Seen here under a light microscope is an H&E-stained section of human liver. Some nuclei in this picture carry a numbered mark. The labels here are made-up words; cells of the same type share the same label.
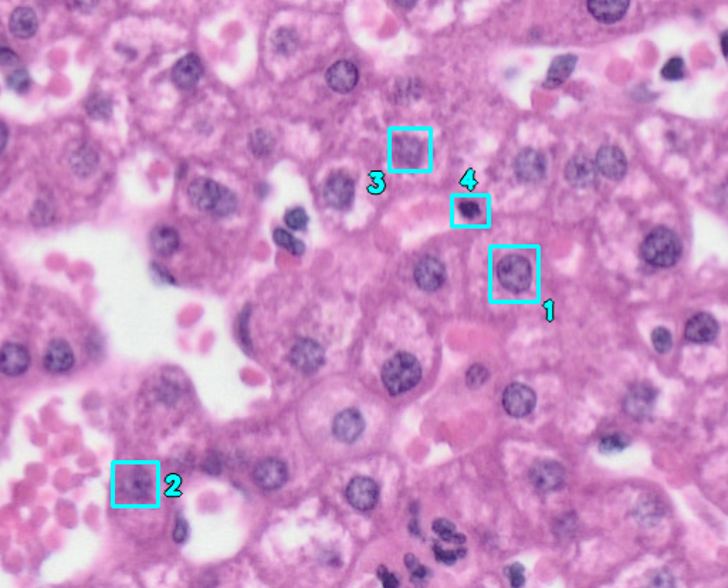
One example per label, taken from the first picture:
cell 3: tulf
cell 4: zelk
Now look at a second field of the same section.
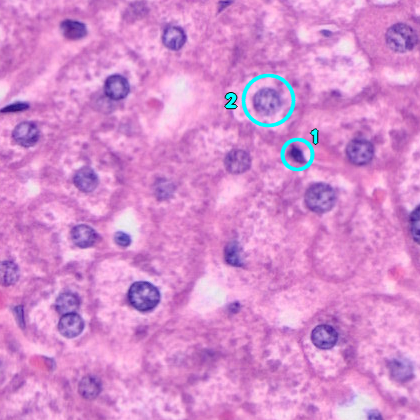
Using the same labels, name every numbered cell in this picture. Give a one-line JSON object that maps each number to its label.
{"1": "zelk", "2": "tulf"}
